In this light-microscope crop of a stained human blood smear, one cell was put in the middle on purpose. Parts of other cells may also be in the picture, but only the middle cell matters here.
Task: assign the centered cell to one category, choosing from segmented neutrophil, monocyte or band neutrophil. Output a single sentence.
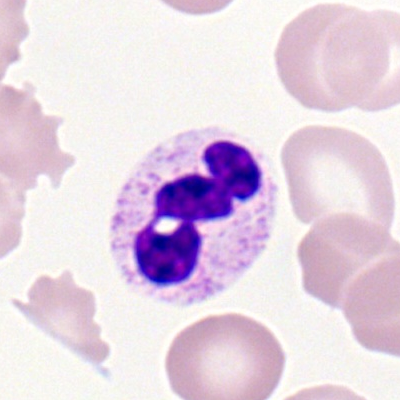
As for the central cell, it is a segmented neutrophil.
